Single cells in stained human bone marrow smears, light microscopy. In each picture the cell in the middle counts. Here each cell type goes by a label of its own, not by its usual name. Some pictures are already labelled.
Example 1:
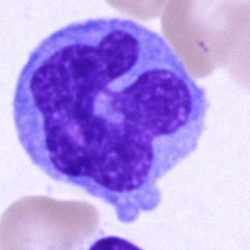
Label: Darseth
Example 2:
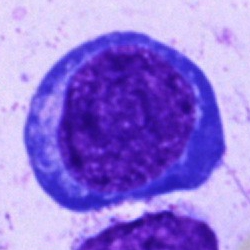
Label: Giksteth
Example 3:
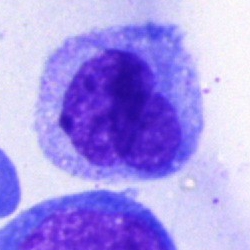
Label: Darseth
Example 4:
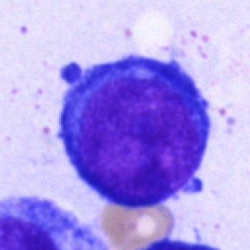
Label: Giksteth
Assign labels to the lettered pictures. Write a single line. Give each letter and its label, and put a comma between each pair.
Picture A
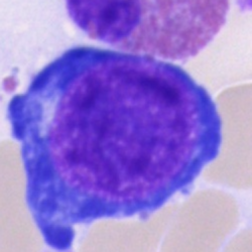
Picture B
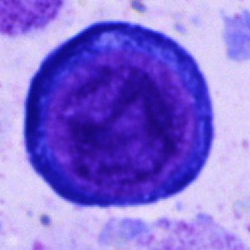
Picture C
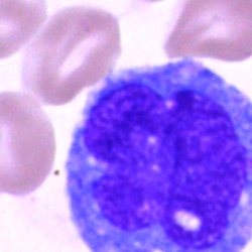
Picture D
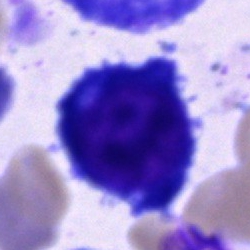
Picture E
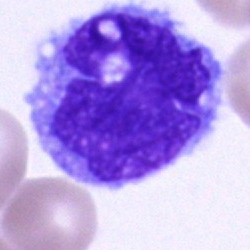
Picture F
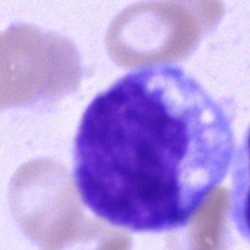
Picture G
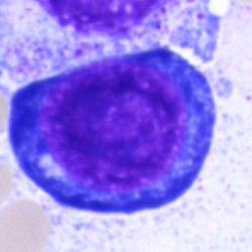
A Giksteth, B Giksteth, C Darseth, D Giksteth, E Darseth, F Darseth, G Giksteth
